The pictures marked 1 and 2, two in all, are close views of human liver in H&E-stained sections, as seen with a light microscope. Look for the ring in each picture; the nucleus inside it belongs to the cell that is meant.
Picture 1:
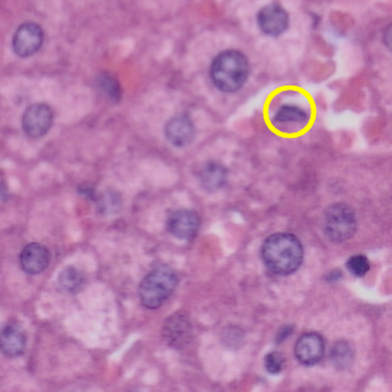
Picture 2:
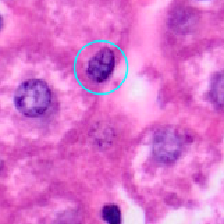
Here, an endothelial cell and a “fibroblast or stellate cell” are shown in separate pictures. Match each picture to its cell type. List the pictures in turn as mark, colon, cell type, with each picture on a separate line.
1: endothelial cell
2: fibroblast or stellate cell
